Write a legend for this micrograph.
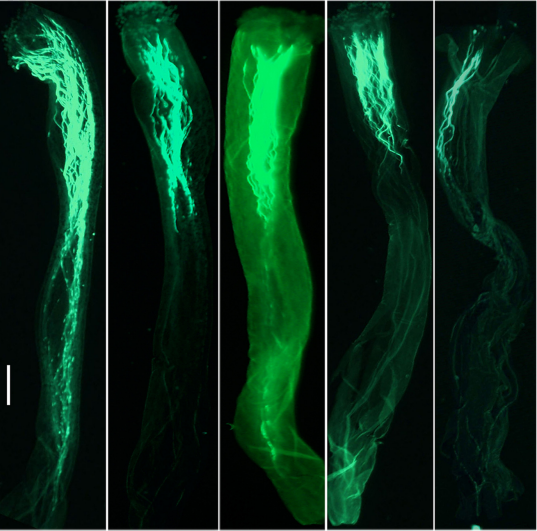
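Here again five styles of a flower are shown side by side in green fluorescence, each a long column with its stigma end at the top. In the leftmost style, a thick bundle of bright, wavy pollen tubes starts at the top and runs down through much of the style's length. In the other styles, bright tubes gather mainly in the upper part, and the lower part of the column shows only the faint outline of the style tissue. One style glows with a diffuse green background over its whole width, so single tubes are harder to pick out there. The tubes appear as thin, bright, wavy lines lying close together in the center of the style.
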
